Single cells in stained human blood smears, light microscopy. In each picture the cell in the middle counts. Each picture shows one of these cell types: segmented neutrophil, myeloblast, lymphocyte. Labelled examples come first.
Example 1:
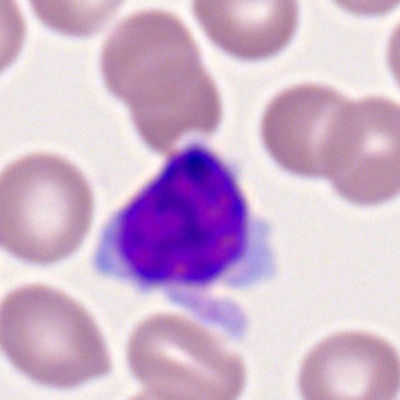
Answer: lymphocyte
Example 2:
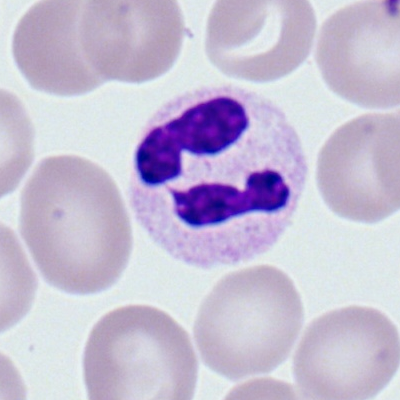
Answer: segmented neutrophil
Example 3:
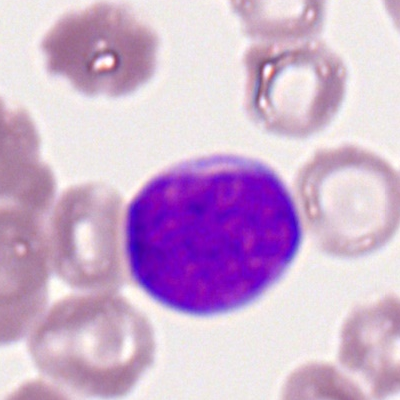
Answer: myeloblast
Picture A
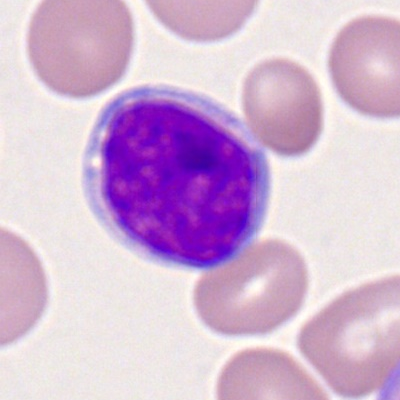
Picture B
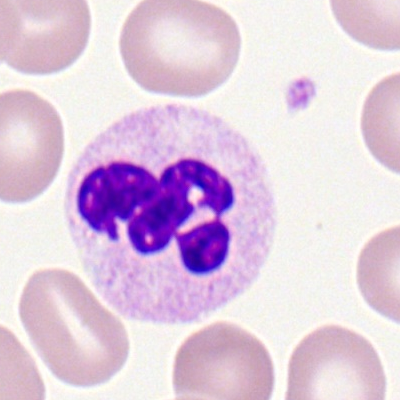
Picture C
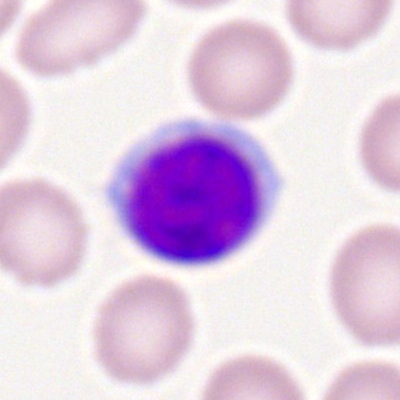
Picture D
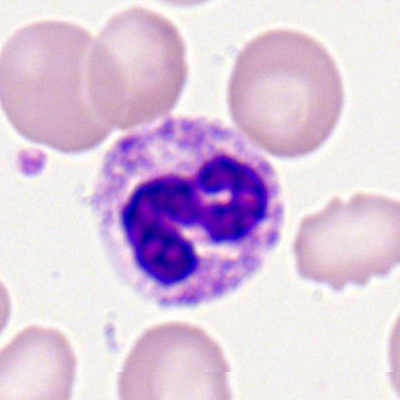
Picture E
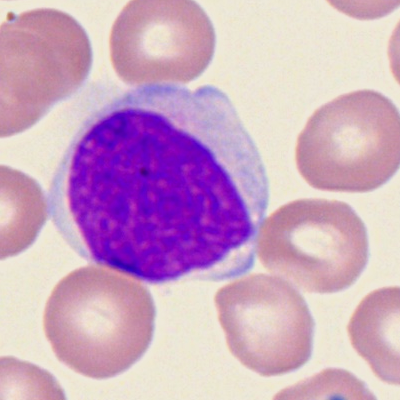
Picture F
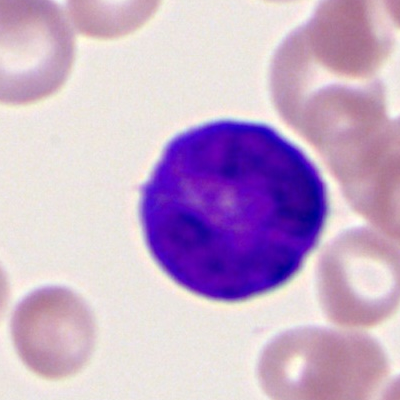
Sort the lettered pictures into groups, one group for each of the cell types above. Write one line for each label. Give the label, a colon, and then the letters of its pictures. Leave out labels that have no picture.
segmented neutrophil: B, D
myeloblast: A, E, F
lymphocyte: C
